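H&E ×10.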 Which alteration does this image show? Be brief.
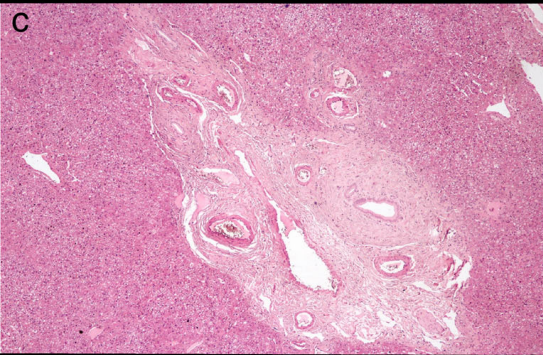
Portal fibrosis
